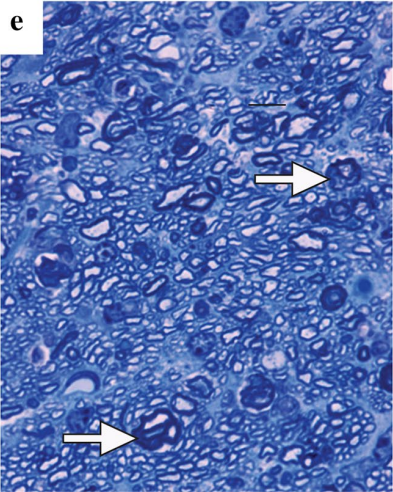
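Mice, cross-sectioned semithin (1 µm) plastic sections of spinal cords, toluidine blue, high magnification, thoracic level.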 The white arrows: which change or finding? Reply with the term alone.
Degenerated myelin profiles.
